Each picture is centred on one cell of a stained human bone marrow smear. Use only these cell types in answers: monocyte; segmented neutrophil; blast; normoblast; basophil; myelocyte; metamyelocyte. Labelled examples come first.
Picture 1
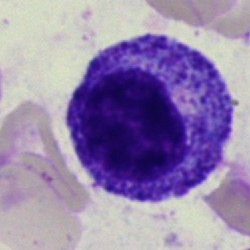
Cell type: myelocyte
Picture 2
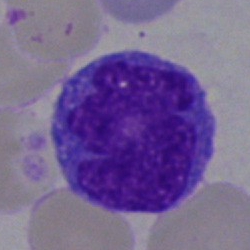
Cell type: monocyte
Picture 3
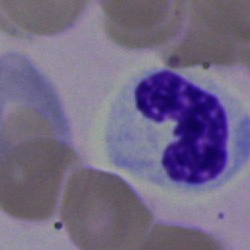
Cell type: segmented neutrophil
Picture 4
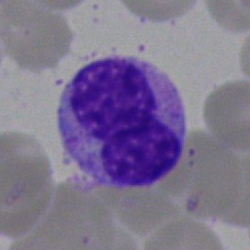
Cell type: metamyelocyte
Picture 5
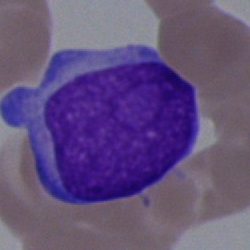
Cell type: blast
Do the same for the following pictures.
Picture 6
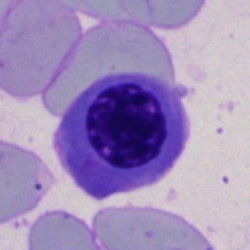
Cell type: normoblast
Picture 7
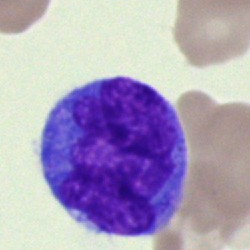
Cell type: monocyte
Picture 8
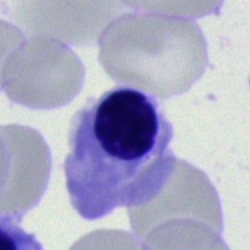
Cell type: normoblast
